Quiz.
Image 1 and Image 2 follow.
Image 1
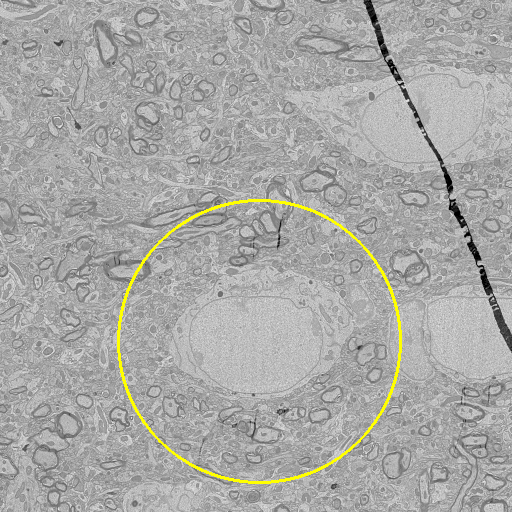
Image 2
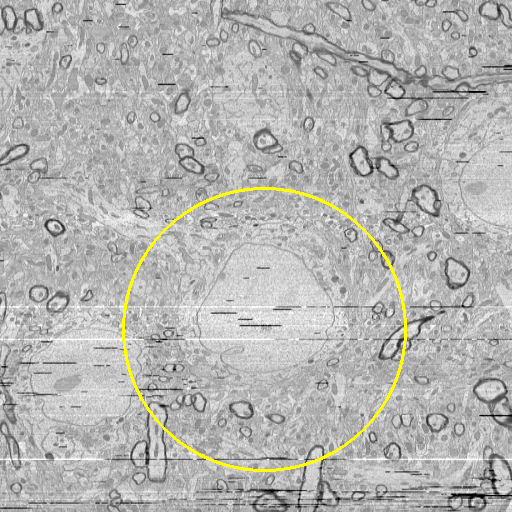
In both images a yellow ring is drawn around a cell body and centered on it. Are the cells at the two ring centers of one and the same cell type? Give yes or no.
yes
